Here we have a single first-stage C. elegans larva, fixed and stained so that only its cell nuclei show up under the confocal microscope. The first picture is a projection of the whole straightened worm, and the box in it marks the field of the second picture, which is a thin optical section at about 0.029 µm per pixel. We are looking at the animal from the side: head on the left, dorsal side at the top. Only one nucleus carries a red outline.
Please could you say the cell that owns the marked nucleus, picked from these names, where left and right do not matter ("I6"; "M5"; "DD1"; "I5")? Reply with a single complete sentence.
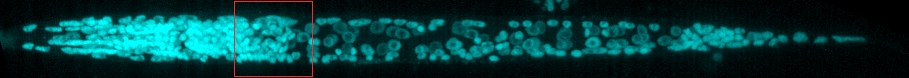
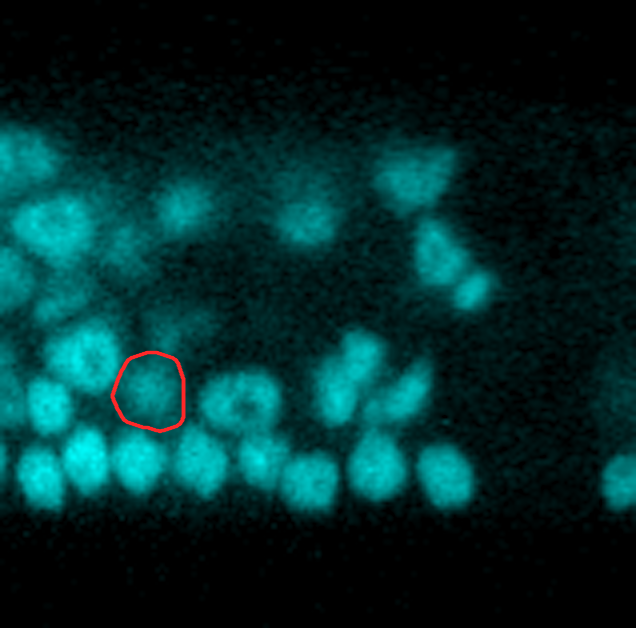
This is the nucleus of I5, a neuron.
